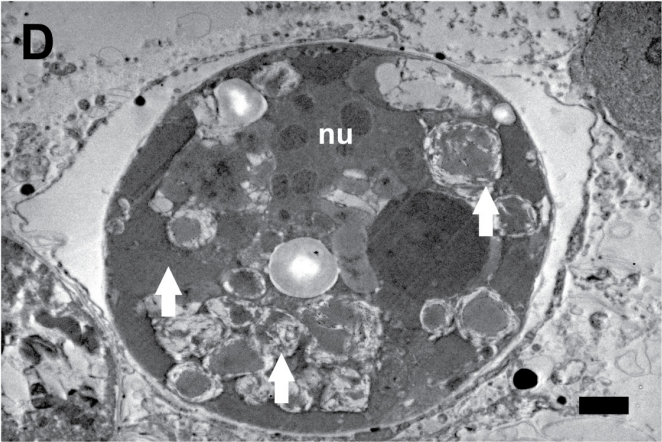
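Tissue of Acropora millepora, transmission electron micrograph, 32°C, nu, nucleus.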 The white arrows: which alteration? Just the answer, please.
Degraded internal structures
